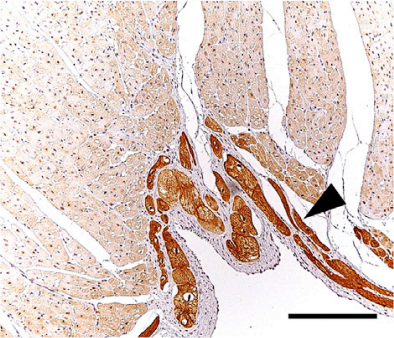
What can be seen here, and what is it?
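This section of ventricular heart muscle beneath the endocardium shows bundles of Purkinje cells set in pale, loose connective tissue between light brown working muscle. The Purkinje cells are large and broad, some with pale centres, and are stained a deep brown, clearly darker and wider than the finer muscle fibres beside them. Small blue nuclei are scattered through the muscle and connective tissue.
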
